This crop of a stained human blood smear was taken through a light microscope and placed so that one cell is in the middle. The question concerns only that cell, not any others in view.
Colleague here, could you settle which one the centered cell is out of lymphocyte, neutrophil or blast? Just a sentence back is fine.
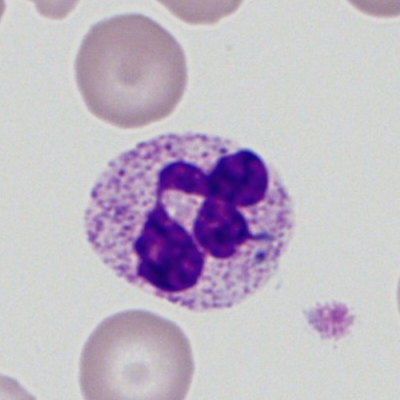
The centered cell in this crop is a neutrophil.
